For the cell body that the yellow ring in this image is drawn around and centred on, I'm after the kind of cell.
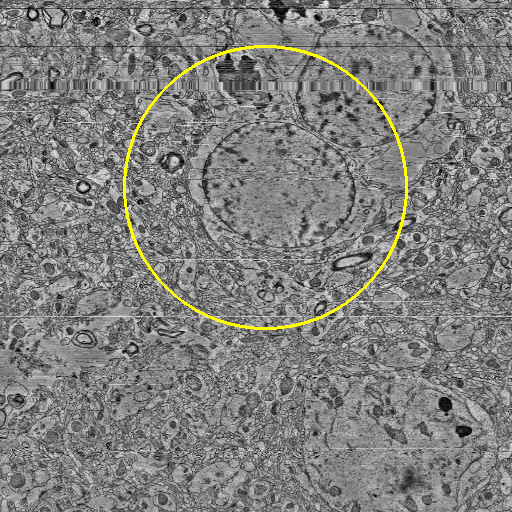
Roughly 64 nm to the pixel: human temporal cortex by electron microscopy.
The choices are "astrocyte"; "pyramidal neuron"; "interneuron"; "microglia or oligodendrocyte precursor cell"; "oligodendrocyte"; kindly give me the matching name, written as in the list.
astrocyte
